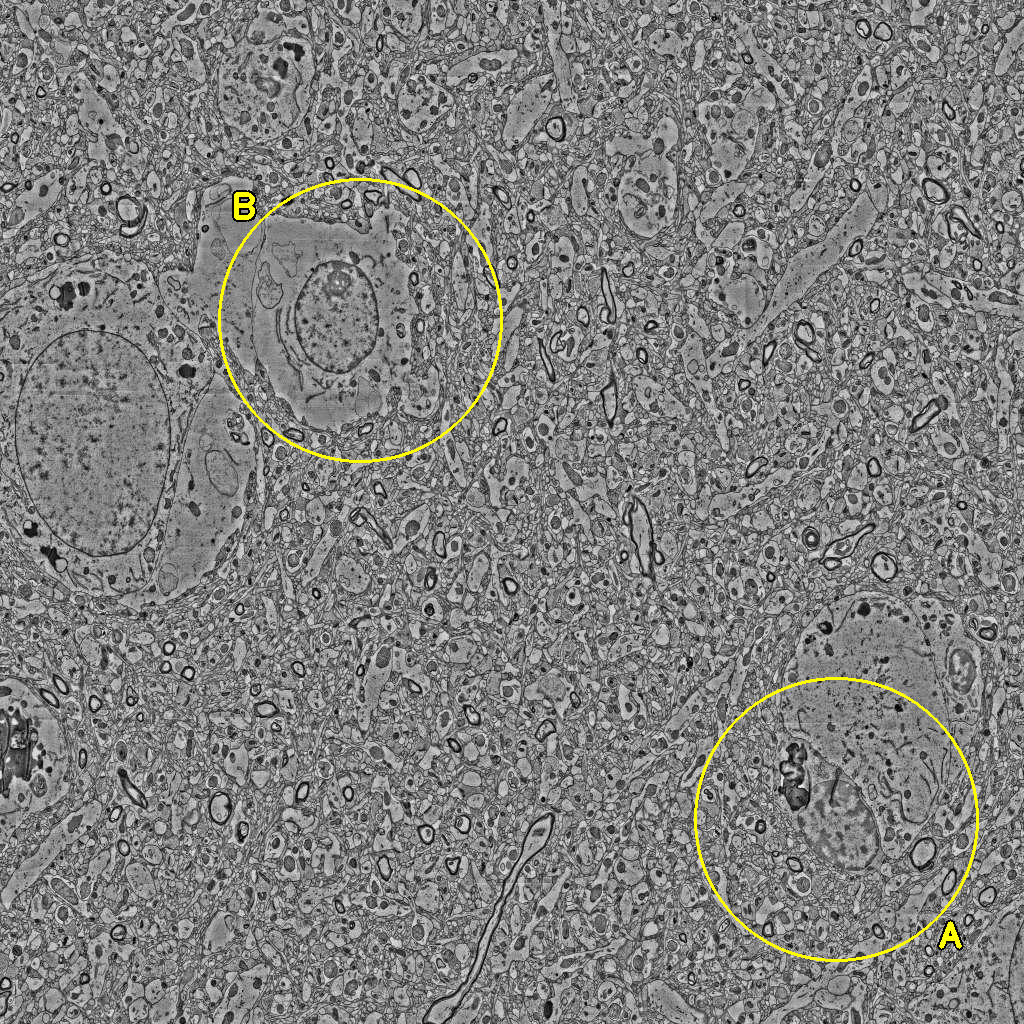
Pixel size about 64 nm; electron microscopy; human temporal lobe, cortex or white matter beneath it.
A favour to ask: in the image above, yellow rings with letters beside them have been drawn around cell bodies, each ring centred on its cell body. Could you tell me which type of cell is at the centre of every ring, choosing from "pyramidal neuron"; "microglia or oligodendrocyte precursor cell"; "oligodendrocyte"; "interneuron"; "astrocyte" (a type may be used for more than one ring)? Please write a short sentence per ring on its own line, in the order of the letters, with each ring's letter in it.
Ring A holds an oligodendrocyte at its centre.
Ring B holds an astrocyte at its centre.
